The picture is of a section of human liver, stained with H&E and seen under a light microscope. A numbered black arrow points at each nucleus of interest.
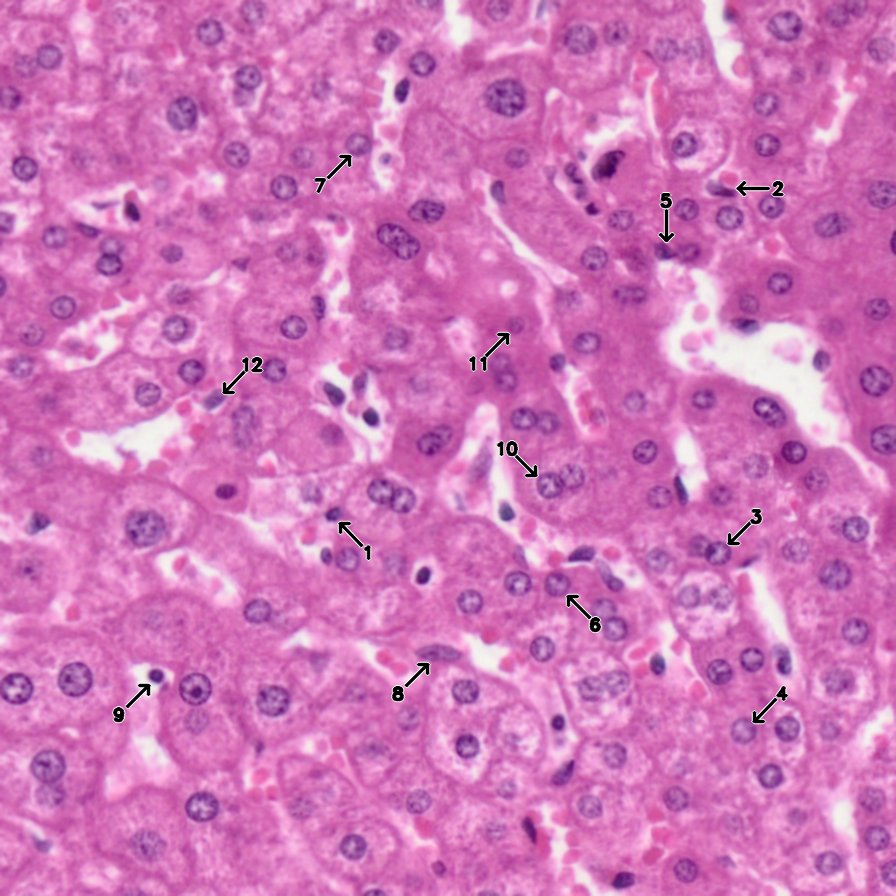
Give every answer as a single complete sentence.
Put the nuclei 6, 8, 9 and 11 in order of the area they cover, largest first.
By area, largest first, they run 8, 6, 11, 9.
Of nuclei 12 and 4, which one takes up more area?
It is nucleus 4, which covers about 1.5 times the area of nucleus 12.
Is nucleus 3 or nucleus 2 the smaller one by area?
Number 2 is smaller, since number 3 takes up about 2 times as much area.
